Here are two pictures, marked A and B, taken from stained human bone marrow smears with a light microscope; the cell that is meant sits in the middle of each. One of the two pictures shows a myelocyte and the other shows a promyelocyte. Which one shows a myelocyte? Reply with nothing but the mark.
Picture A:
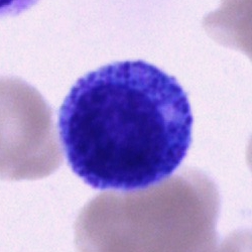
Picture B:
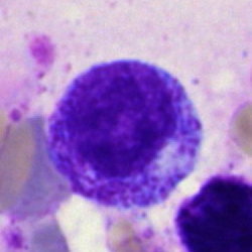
B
